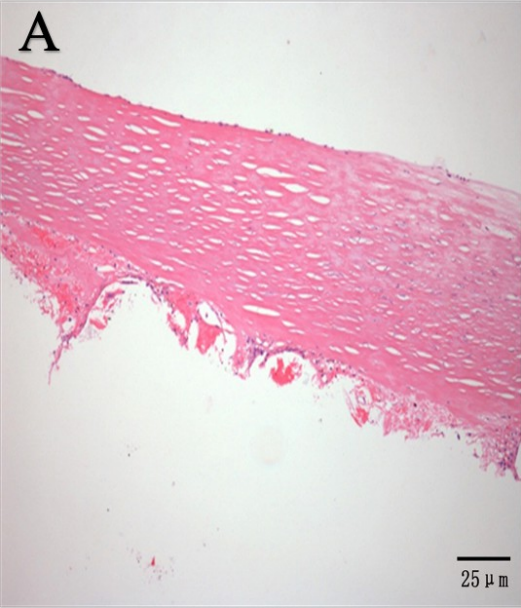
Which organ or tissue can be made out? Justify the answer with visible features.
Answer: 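Compact pink fibrous band running in parallel. Many elongated slit-like clear spaces between fibers. Few nuclei within the band.
Conclusion: Dense collagen fibers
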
